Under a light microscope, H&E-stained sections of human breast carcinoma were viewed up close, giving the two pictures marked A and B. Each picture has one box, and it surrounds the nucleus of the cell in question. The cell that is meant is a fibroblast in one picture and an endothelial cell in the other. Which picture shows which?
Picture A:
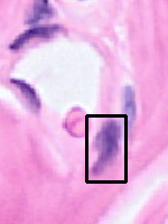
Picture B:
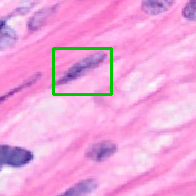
A: endothelial cell
B: fibroblast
